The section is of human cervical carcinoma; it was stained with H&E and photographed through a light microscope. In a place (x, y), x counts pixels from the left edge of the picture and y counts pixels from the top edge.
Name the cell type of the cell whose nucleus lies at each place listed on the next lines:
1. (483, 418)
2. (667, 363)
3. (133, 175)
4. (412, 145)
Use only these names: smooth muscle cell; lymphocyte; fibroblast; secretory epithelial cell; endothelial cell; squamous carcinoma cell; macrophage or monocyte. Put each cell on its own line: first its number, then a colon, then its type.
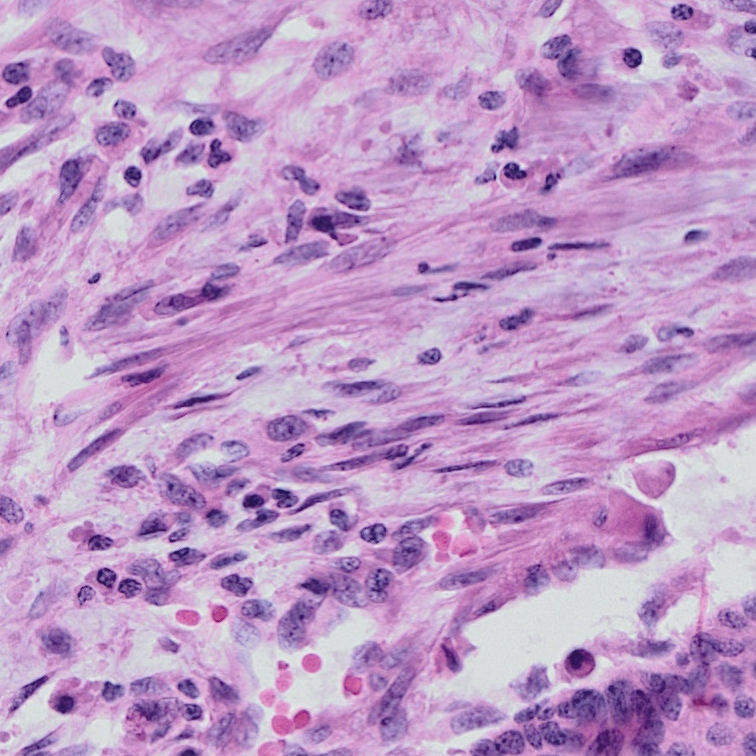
1: fibroblast
2: fibroblast
3: lymphocyte
4: fibroblast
